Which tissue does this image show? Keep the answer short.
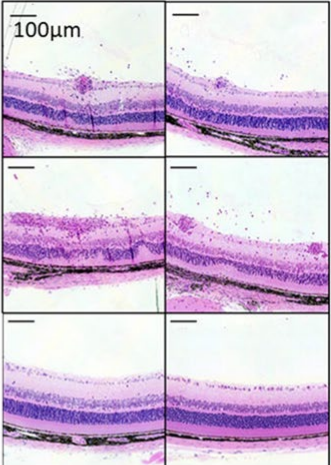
Posterior segment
